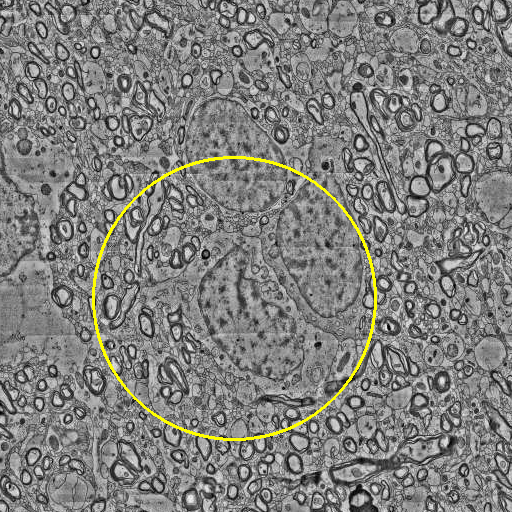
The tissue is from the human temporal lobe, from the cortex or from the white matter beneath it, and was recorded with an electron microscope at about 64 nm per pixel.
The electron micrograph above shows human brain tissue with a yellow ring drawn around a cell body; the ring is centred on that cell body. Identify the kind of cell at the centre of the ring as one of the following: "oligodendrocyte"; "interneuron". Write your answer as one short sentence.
The cell at the centre of the ring is an interneuron.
